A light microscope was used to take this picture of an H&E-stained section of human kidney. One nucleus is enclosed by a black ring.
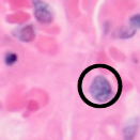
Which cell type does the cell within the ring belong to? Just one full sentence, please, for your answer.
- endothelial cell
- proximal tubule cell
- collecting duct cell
For cell typing purposes, the cell within the ring is an endothelial cell.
